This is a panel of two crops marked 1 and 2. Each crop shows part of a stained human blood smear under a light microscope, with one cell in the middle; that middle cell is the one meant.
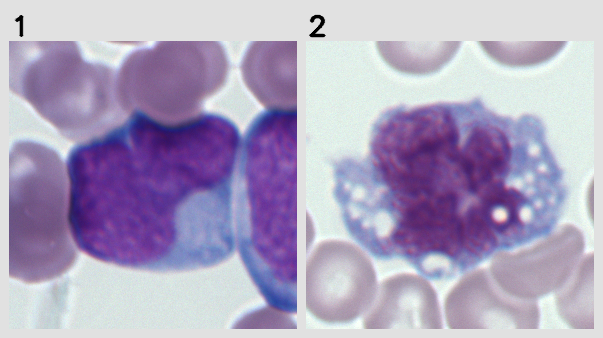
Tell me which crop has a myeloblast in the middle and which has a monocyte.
1: myeloblast
2: monocyte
